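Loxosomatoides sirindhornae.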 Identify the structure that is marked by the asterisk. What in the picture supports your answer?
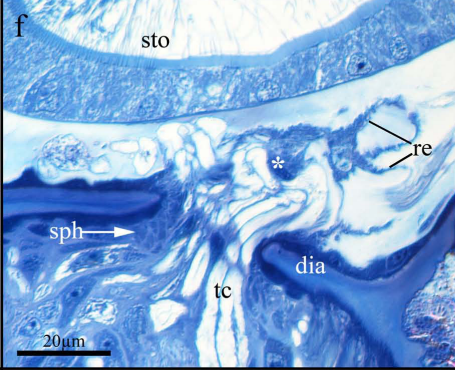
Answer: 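Multicellular 'star structure'. The asterisk sits on a small dark cellular cluster just above the narrow passage.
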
